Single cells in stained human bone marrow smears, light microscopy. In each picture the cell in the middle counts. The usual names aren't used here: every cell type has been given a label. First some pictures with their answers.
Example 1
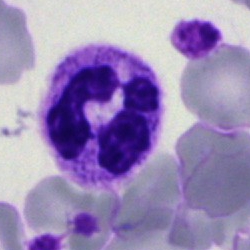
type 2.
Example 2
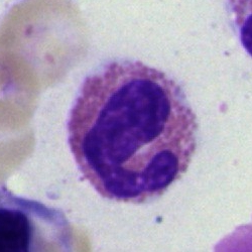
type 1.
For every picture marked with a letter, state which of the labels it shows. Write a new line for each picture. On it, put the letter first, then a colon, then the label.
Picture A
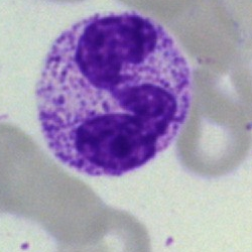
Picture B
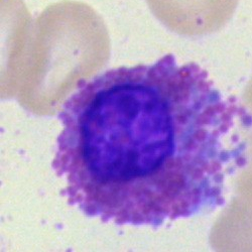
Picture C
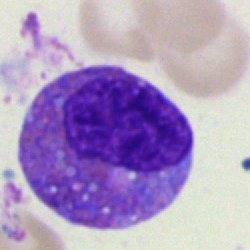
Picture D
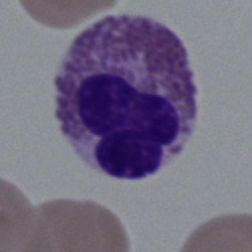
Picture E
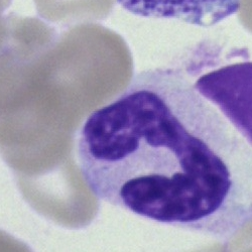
A: type 2.
B: type 1.
C: type 1.
D: type 1.
E: type 2.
